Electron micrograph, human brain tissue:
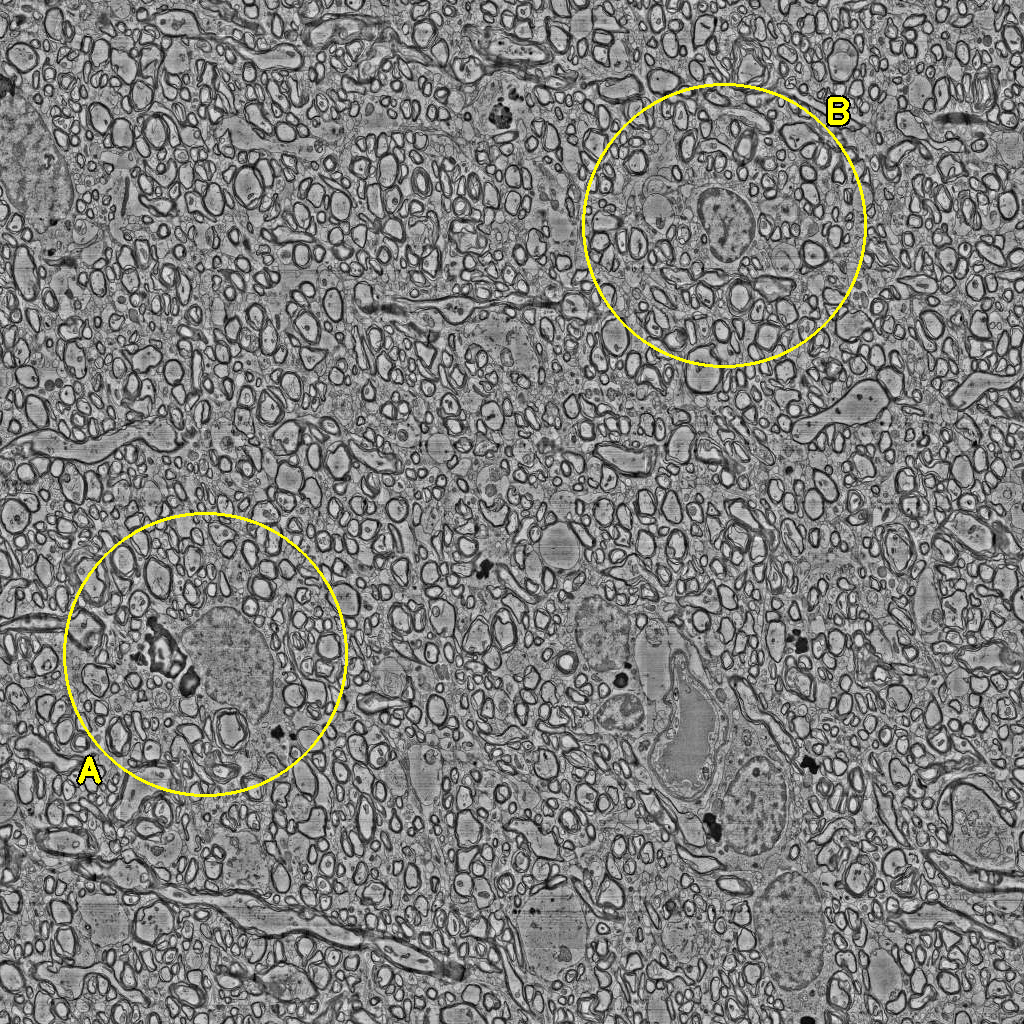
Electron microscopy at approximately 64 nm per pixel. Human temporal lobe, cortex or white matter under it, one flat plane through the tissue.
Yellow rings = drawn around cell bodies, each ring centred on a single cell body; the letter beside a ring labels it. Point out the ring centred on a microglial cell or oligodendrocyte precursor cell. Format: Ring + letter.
Ring B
